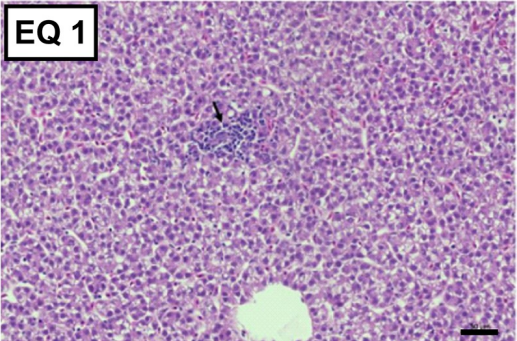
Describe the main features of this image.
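Liver parenchyma of polygonal hepatocytes with pink cytoplasm and round nuclei, arranged in cords separated by narrow sinusoids. Within the parenchyma lies a focal cluster of small cells with dark blue, round nuclei and scant cytoplasm, a lymphocytic-type infiltrate. A vessel lumen is seen at the bottom.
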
